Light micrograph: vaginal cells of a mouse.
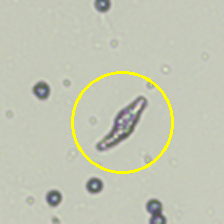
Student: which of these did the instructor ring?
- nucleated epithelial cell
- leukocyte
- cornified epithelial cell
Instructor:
The cell I ringed is a cornified epithelial cell.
